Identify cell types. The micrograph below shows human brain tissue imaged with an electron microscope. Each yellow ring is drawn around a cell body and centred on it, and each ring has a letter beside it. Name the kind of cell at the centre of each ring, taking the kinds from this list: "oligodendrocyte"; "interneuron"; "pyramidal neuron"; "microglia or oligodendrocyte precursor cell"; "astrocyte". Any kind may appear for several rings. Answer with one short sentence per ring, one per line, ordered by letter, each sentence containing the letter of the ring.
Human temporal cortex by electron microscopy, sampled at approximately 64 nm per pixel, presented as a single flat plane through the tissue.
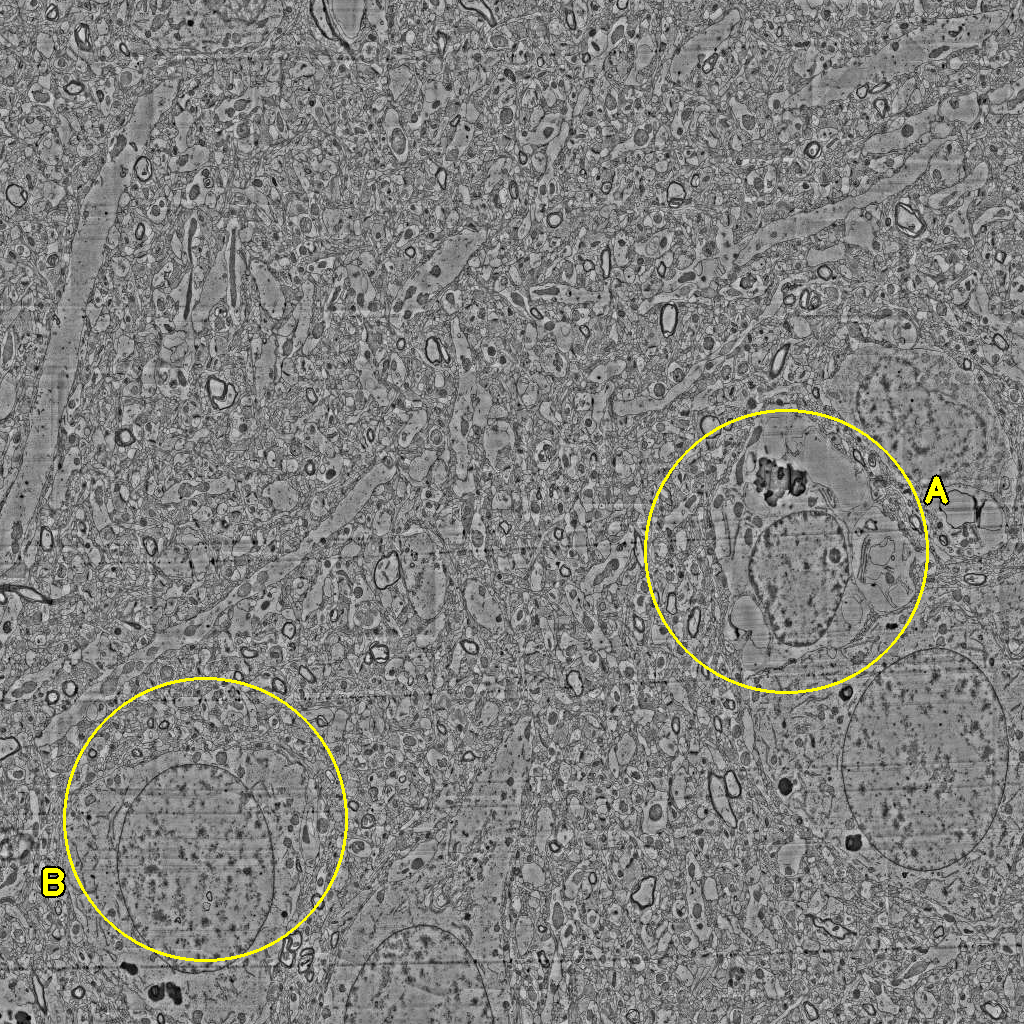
Ring A marks an astrocyte.
Ring B marks a pyramidal neuron.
